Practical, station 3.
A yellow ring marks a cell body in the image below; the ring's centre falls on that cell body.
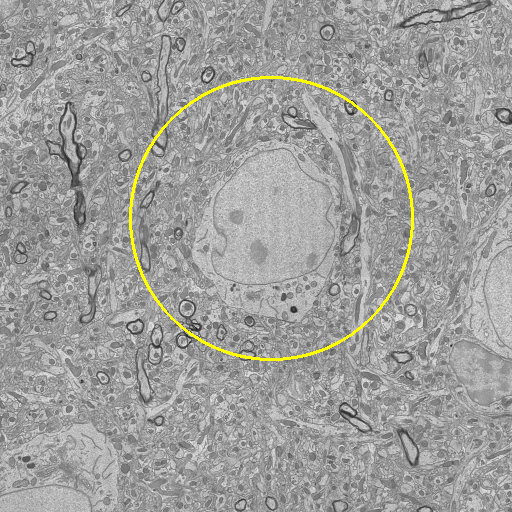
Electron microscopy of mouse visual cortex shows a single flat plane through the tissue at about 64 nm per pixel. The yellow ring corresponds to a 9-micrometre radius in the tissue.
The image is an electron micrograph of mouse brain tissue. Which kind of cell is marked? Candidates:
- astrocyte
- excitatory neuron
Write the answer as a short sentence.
The marked cell body is that of an excitatory neuron.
